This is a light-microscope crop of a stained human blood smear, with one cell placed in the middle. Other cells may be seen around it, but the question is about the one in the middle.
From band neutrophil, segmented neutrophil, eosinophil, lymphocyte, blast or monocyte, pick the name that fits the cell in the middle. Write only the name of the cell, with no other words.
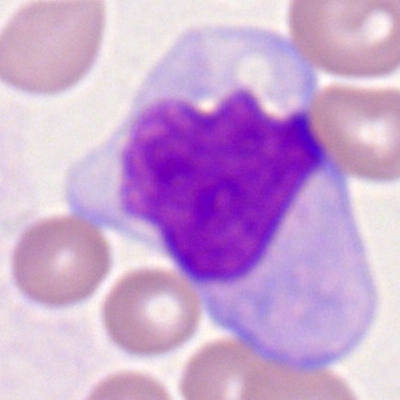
monocyte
